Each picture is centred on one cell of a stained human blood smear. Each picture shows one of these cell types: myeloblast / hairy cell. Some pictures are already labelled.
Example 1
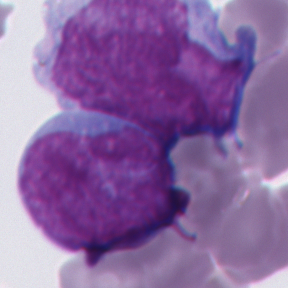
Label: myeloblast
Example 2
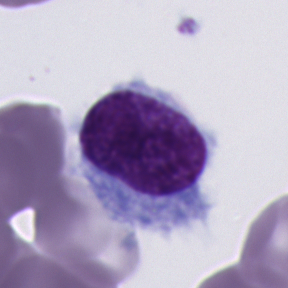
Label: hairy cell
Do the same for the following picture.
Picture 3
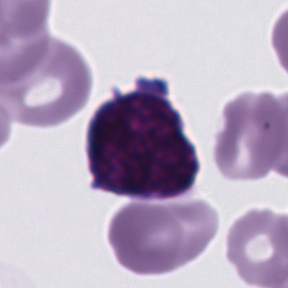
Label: myeloblast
